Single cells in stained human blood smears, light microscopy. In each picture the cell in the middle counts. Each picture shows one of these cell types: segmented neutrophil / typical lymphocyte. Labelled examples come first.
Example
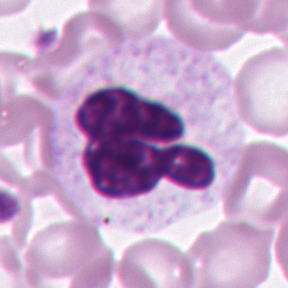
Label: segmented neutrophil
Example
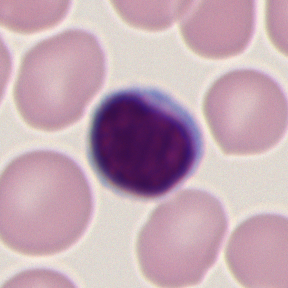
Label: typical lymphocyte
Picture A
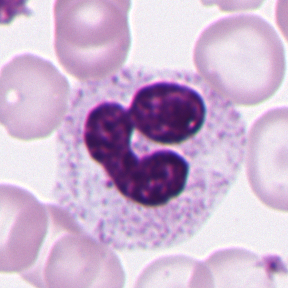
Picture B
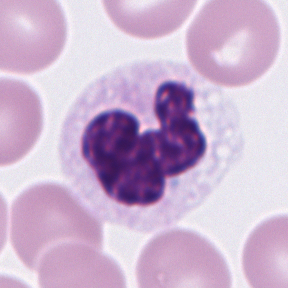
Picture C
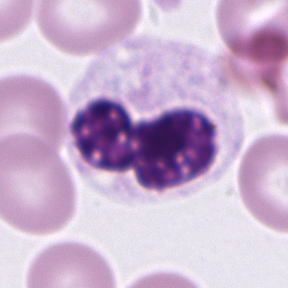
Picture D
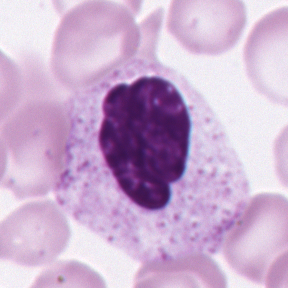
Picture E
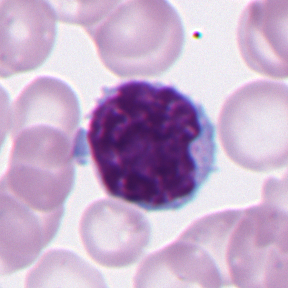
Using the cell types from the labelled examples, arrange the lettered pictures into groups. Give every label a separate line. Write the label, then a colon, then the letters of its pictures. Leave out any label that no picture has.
segmented neutrophil: A, B, C, D
typical lymphocyte: E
